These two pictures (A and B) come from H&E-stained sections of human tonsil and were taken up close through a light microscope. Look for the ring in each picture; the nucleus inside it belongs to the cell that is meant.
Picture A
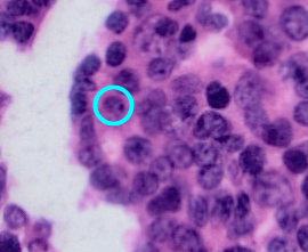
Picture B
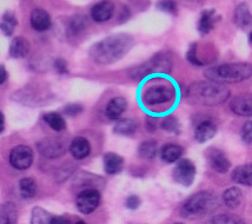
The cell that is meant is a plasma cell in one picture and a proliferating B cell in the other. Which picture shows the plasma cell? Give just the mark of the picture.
B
